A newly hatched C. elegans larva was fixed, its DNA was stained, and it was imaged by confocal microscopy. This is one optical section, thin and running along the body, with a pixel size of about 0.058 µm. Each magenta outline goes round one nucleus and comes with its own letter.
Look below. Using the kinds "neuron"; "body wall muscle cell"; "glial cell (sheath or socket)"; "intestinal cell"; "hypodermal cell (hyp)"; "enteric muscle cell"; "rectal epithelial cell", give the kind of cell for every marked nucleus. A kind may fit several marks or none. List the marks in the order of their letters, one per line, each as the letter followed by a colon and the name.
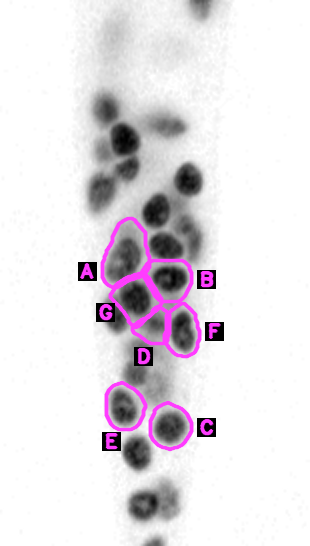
A: rectal epithelial cell
B: enteric muscle cell
C: neuron
D: glial cell (sheath or socket)
E: hypodermal cell (hyp)
F: body wall muscle cell
G: neuron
